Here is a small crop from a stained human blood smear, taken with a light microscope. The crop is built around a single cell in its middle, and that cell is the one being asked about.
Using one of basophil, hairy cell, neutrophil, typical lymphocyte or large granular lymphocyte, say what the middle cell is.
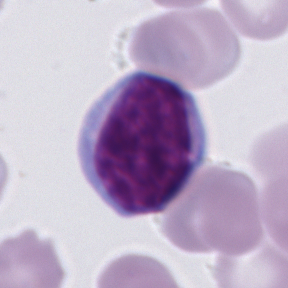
typical lymphocyte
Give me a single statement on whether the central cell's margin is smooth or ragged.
No projections interrupt the outline; it is smooth all the way round.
